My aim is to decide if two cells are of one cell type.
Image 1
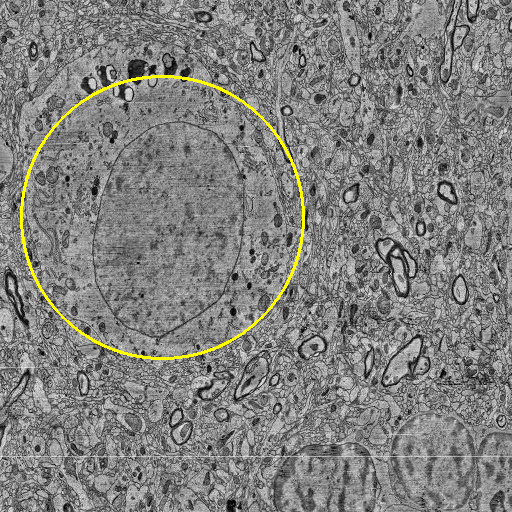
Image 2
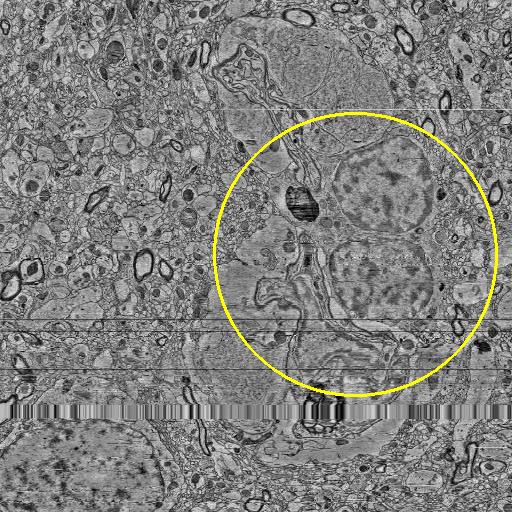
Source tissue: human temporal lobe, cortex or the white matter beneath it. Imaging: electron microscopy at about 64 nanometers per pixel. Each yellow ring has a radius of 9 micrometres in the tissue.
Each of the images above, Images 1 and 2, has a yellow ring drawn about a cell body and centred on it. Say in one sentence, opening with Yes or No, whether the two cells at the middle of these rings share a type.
No, in Images 1 and 2 the cells at the middle of the rings fall into two types.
